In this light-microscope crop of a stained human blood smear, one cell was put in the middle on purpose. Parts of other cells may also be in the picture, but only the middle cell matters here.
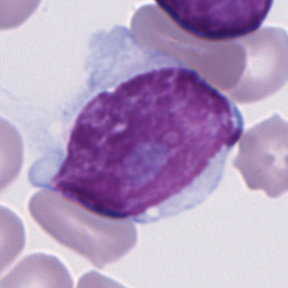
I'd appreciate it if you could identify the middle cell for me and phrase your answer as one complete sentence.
The cell at the middle of the crop is recognized as a myeloblast.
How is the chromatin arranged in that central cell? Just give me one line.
The chromatin shows a fine pattern without coarse clumps.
